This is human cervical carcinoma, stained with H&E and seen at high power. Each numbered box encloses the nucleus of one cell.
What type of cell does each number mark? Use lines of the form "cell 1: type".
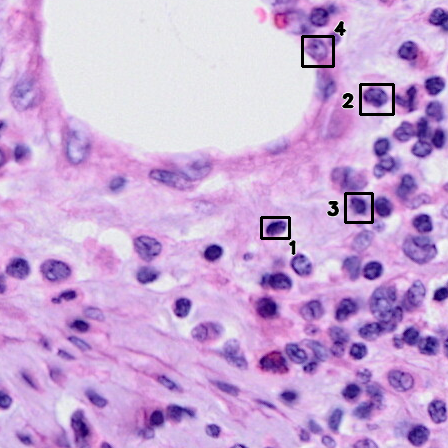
cell 1: lymphocyte
cell 2: lymphocyte
cell 3: lymphocyte
cell 4: endothelial cell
